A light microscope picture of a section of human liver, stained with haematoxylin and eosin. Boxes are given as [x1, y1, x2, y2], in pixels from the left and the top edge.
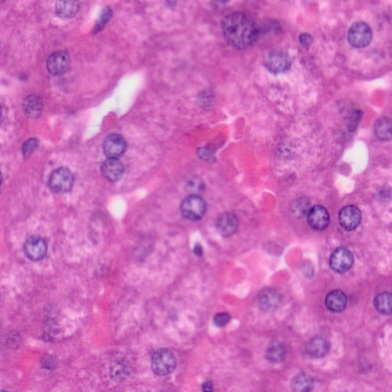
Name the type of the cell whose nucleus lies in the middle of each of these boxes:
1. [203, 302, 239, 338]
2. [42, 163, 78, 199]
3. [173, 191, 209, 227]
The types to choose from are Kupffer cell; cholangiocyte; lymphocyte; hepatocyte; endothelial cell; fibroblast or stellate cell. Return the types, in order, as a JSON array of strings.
["lymphocyte", "hepatocyte", "hepatocyte"]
